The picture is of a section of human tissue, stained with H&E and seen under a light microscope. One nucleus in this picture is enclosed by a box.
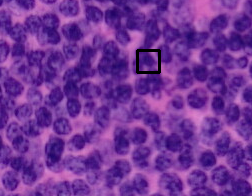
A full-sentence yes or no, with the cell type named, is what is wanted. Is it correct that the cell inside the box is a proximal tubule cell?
No, judged by cell type, the cell inside the box is a small lymphocyte, not a proximal tubule cell.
